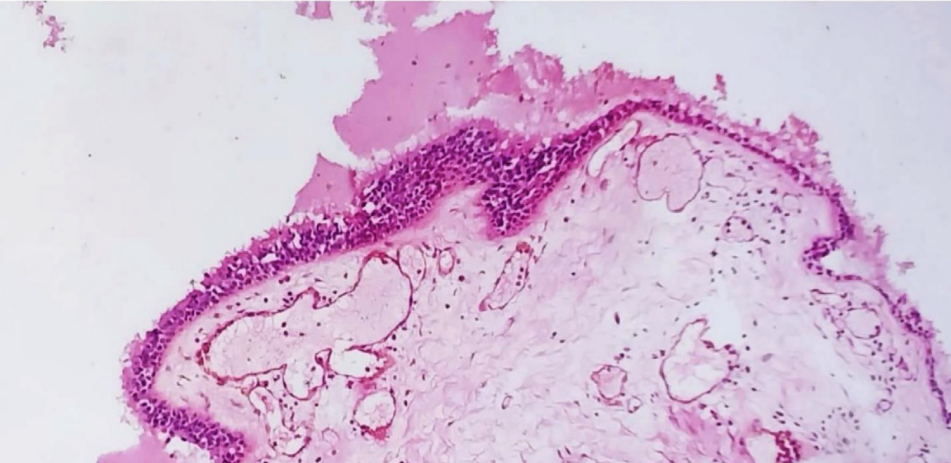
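This is the wall of a cystic lesion at low power, with a continuous thin lining of epithelial cells along its inner surface. The lining is a dark purple band of crowded nuclei, thicker in places. Below it the wall is a loose, pale connective tissue with scattered nuclei and many thin-walled vessels. Pink amorphous contents lie in the cyst space beside the lining.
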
